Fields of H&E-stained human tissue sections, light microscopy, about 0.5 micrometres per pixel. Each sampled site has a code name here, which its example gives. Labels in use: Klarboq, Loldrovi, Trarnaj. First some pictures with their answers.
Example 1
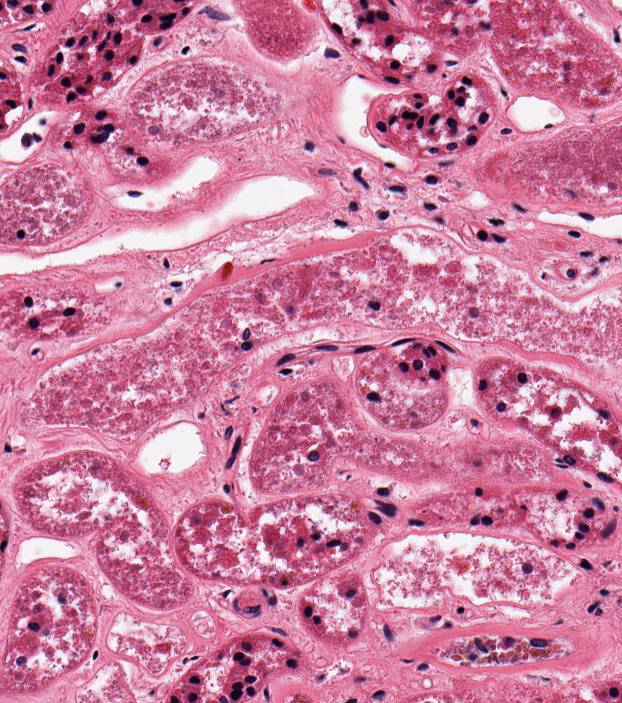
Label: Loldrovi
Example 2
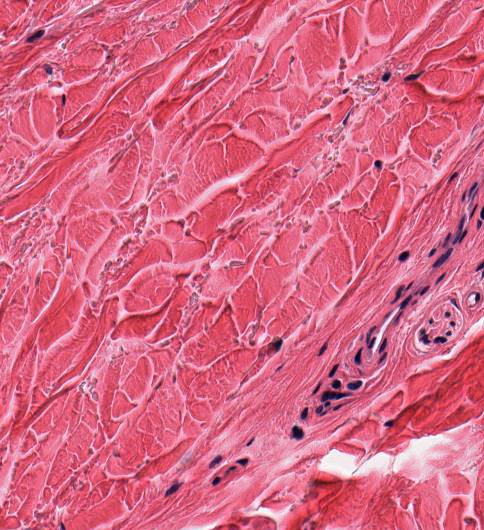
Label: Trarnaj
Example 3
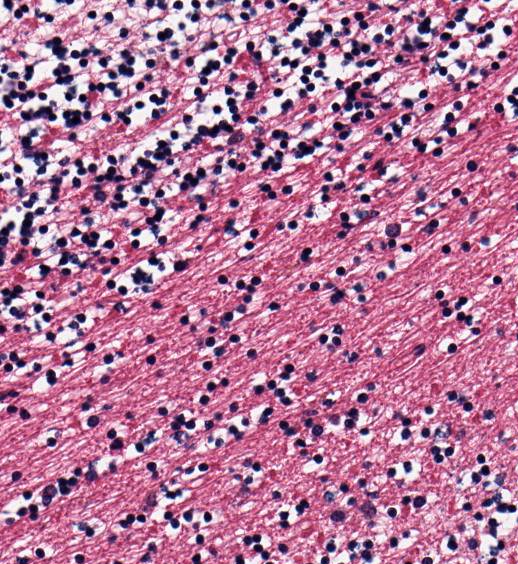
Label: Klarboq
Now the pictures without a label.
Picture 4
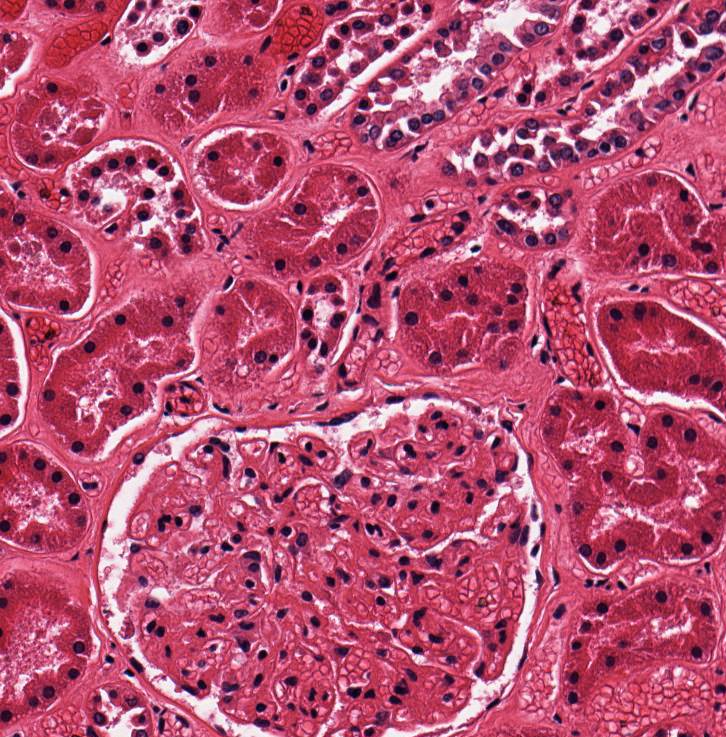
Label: Loldrovi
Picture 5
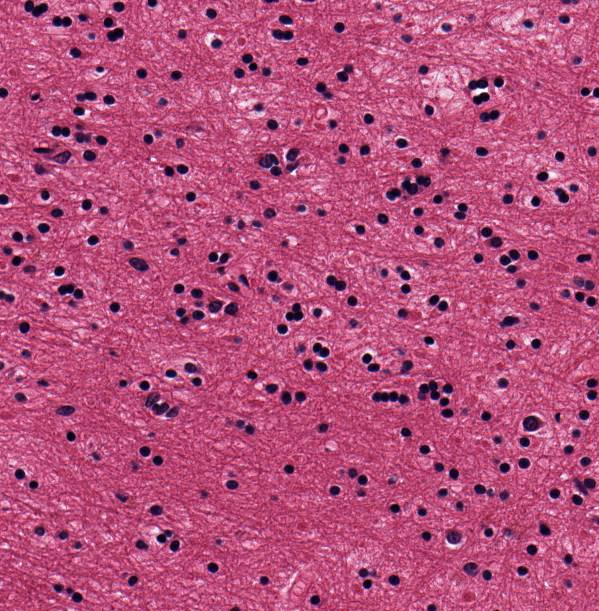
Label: Klarboq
